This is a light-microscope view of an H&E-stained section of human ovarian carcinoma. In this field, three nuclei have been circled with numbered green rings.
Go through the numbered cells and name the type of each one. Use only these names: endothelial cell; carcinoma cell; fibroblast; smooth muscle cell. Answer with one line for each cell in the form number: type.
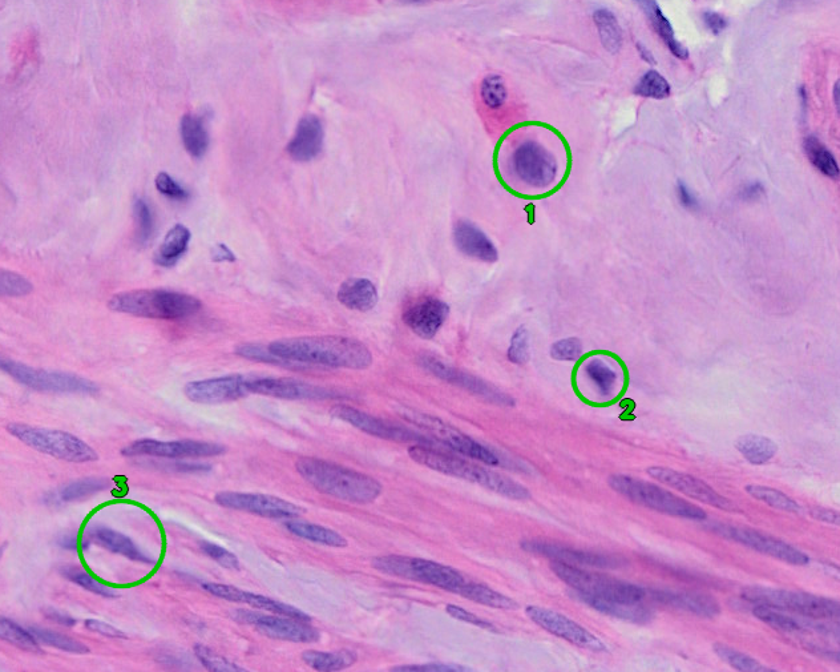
1: fibroblast
2: fibroblast
3: smooth muscle cell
